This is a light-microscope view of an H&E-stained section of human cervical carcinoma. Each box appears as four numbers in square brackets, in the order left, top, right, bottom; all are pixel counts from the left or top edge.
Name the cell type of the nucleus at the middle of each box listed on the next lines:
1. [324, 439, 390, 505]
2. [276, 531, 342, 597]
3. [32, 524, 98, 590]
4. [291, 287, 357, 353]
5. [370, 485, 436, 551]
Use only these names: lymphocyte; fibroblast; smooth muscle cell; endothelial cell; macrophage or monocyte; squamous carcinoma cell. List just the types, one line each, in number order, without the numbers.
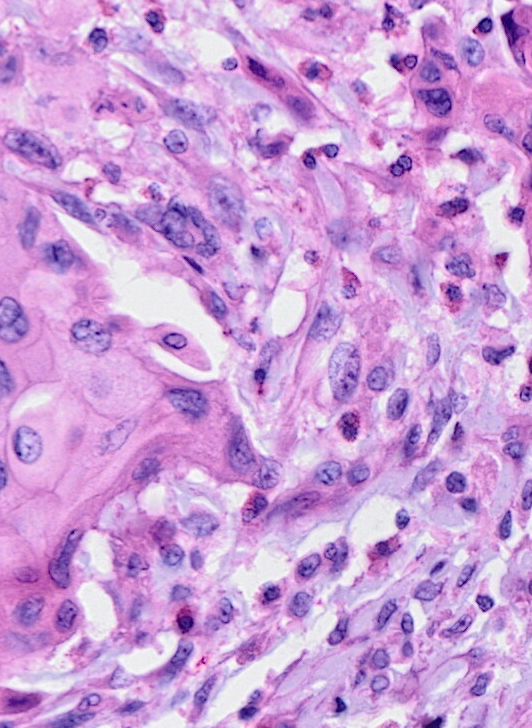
endothelial cell
macrophage or monocyte
squamous carcinoma cell
fibroblast
lymphocyte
